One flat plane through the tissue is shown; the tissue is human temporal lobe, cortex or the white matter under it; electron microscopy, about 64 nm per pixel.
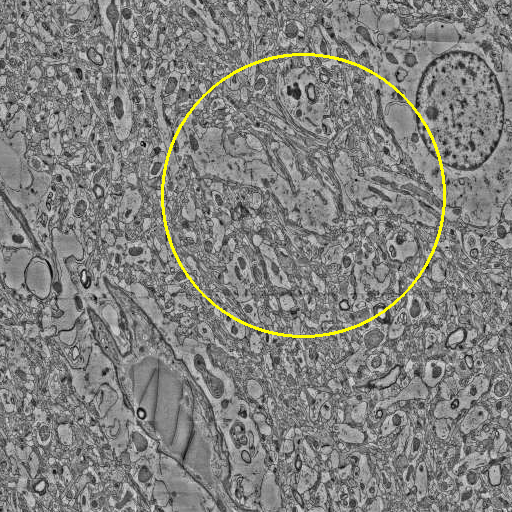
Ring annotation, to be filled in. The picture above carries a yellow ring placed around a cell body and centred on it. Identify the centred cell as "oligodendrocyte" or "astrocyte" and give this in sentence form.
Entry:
The cell in the middle of the ring is an astrocyte.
